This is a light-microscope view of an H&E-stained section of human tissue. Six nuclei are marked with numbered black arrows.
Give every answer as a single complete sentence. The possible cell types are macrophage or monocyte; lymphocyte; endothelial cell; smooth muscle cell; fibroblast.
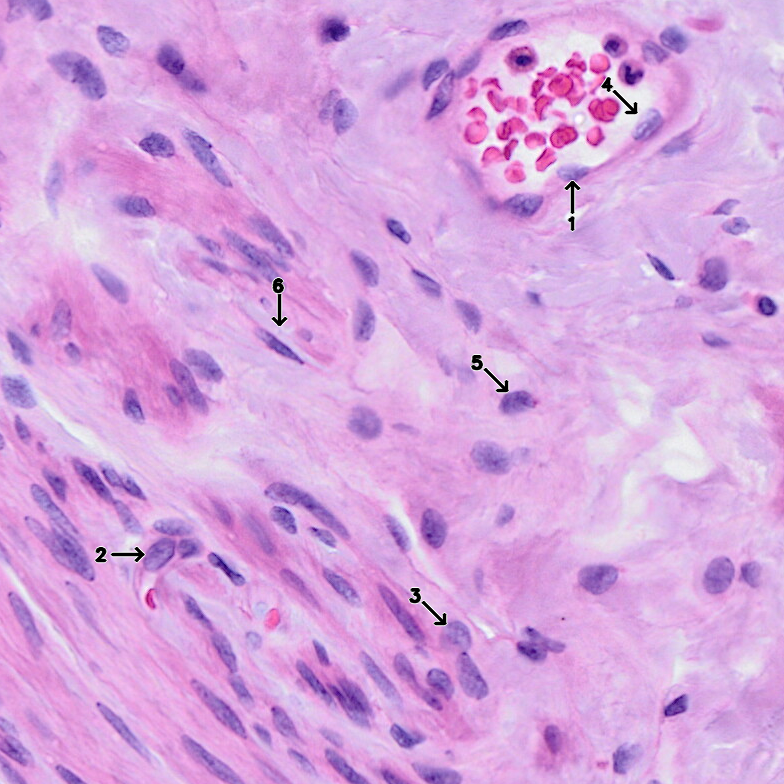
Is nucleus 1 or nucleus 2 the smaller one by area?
The smaller nucleus is 1, and 2 covers roughly 1.5 times its area.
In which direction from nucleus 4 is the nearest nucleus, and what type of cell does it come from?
The nearest nucleus is that of a fibroblast and lies below and to the right of nucleus 4.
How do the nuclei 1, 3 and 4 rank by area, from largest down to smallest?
From largest to smallest, the order is 3, 4, 1.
